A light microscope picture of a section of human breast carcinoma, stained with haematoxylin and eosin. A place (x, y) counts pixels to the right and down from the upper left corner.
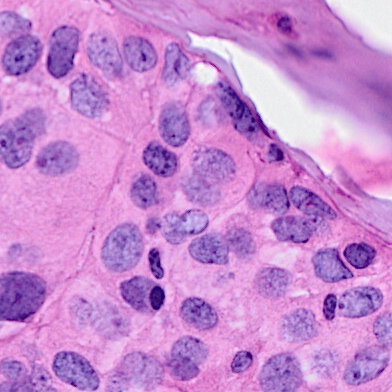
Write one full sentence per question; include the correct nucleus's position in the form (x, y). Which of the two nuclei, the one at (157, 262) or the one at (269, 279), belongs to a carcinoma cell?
The nucleus found at (269, 279) belongs to a carcinoma cell.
